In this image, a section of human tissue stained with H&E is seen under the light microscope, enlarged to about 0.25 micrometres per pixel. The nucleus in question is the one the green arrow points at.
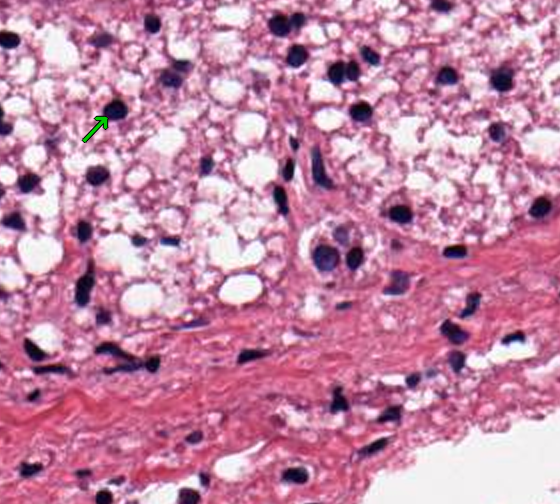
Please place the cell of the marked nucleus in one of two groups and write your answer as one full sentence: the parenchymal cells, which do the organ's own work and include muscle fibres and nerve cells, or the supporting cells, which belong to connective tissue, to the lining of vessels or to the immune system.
The marked nucleus is owned by a parenchymal cell, in this case an adrenal cortical cell.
